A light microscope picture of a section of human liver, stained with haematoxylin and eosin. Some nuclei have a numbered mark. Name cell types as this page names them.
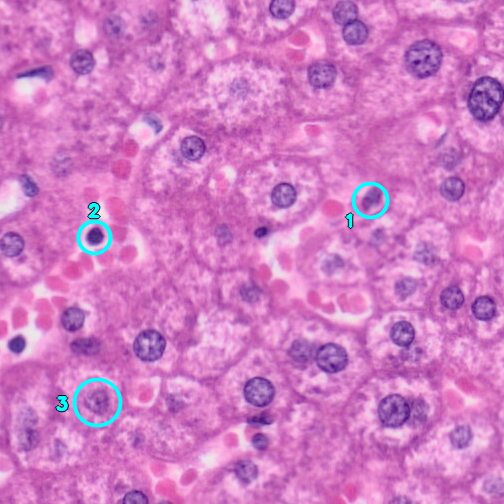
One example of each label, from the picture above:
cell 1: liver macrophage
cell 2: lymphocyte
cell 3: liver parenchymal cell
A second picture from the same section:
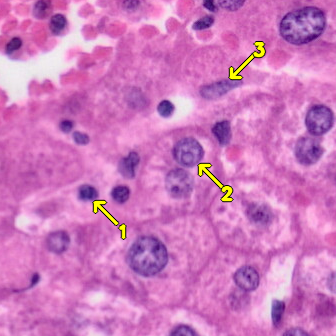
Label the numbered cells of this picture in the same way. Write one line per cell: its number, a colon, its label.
1: lymphocyte
2: liver parenchymal cell
3: liver macrophage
